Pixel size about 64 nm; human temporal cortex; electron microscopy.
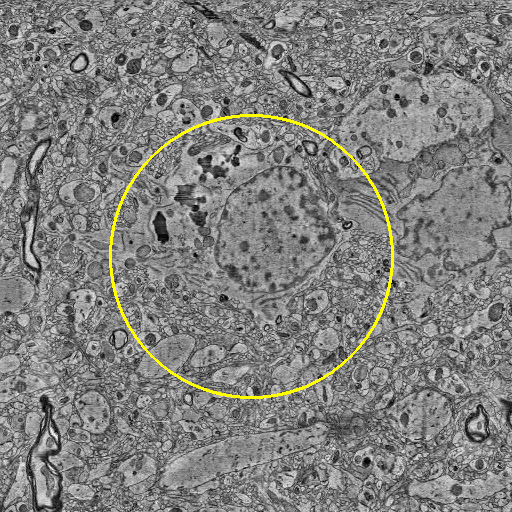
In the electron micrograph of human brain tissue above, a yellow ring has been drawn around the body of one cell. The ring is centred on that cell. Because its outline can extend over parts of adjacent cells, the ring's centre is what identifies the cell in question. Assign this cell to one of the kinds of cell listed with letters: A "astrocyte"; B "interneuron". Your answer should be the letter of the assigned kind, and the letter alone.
A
